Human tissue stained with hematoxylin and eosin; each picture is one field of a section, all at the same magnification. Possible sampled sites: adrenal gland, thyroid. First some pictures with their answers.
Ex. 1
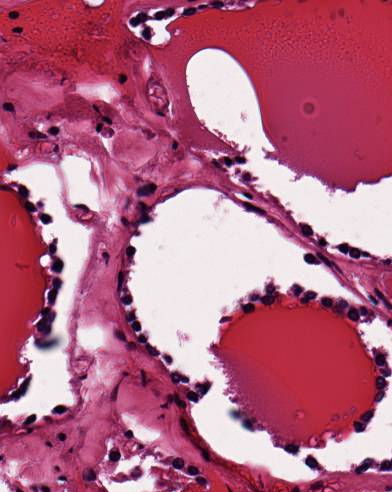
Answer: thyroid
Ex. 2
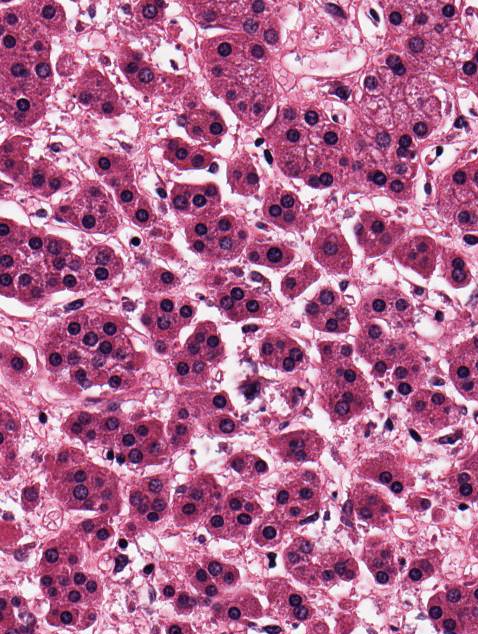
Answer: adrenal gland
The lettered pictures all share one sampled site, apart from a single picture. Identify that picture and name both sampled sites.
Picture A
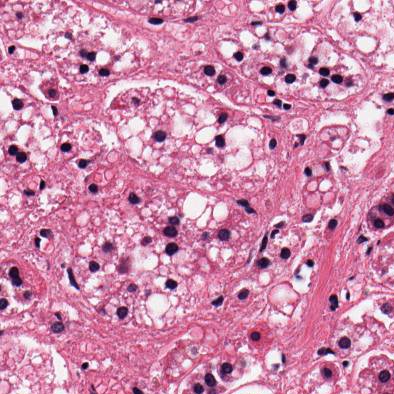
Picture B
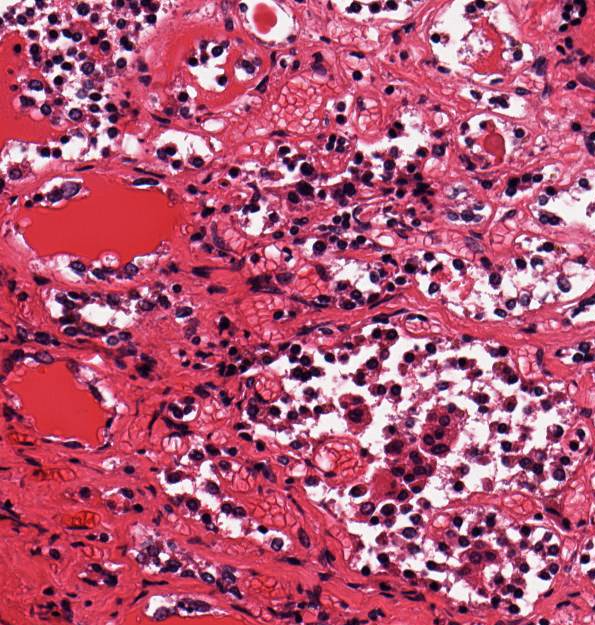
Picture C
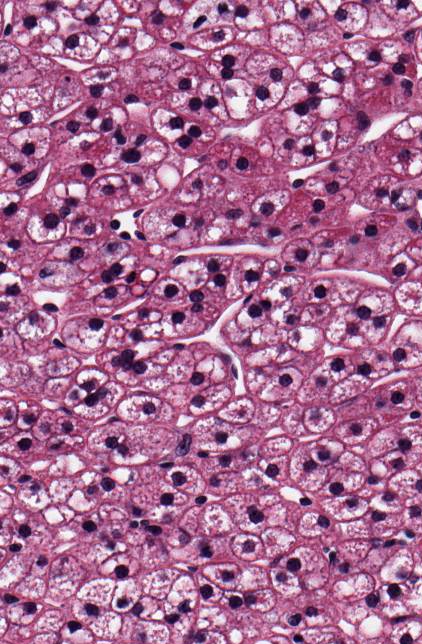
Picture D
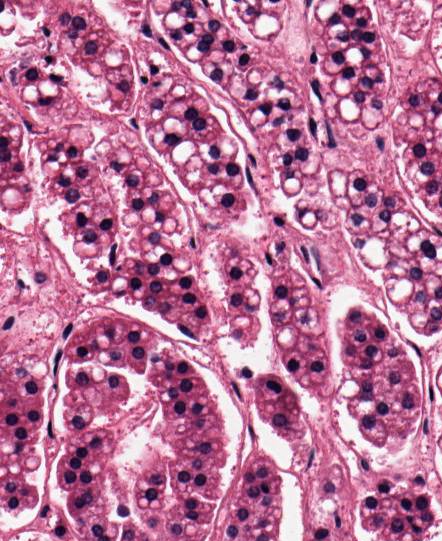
Picture B: thyroid. All others: adrenal gland.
